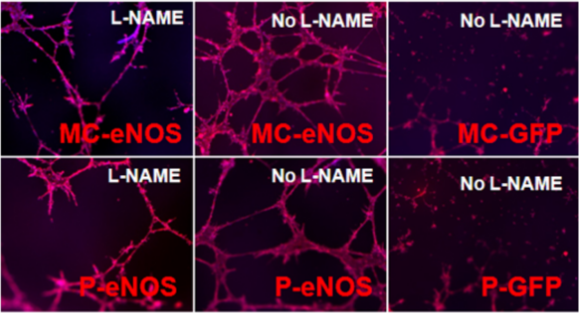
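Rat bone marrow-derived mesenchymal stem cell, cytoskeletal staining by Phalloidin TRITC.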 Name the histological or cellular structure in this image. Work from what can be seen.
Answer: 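Elongated red-magenta cords of cells join at branch points into a network. The cords enclose open polygonal loops in the middle images. Two images on the right show only scattered small cells without cords.
Hence: Capillary tubule.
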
